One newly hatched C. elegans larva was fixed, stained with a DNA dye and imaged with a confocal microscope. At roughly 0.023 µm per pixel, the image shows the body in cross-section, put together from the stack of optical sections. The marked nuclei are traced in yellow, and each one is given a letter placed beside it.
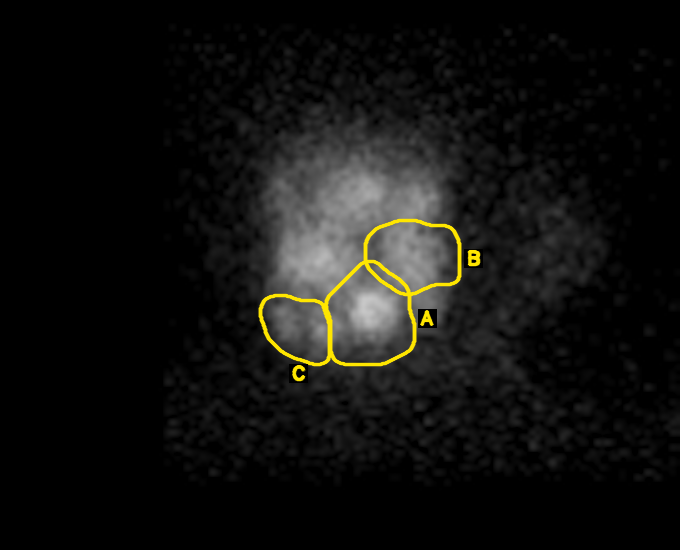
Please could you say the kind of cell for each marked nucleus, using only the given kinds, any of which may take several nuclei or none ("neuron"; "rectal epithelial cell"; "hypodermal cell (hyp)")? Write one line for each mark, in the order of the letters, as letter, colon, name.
A: neuron
B: rectal epithelial cell
C: hypodermal cell (hyp)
